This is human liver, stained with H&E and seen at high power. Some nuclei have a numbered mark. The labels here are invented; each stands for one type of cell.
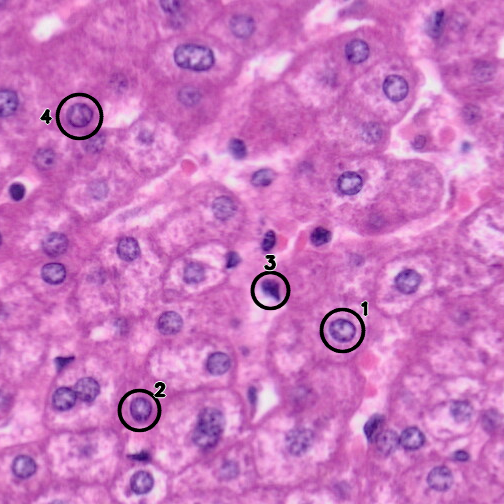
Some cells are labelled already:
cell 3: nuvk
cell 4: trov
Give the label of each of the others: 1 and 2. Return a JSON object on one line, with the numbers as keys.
{"1": "trov", "2": "trov"}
